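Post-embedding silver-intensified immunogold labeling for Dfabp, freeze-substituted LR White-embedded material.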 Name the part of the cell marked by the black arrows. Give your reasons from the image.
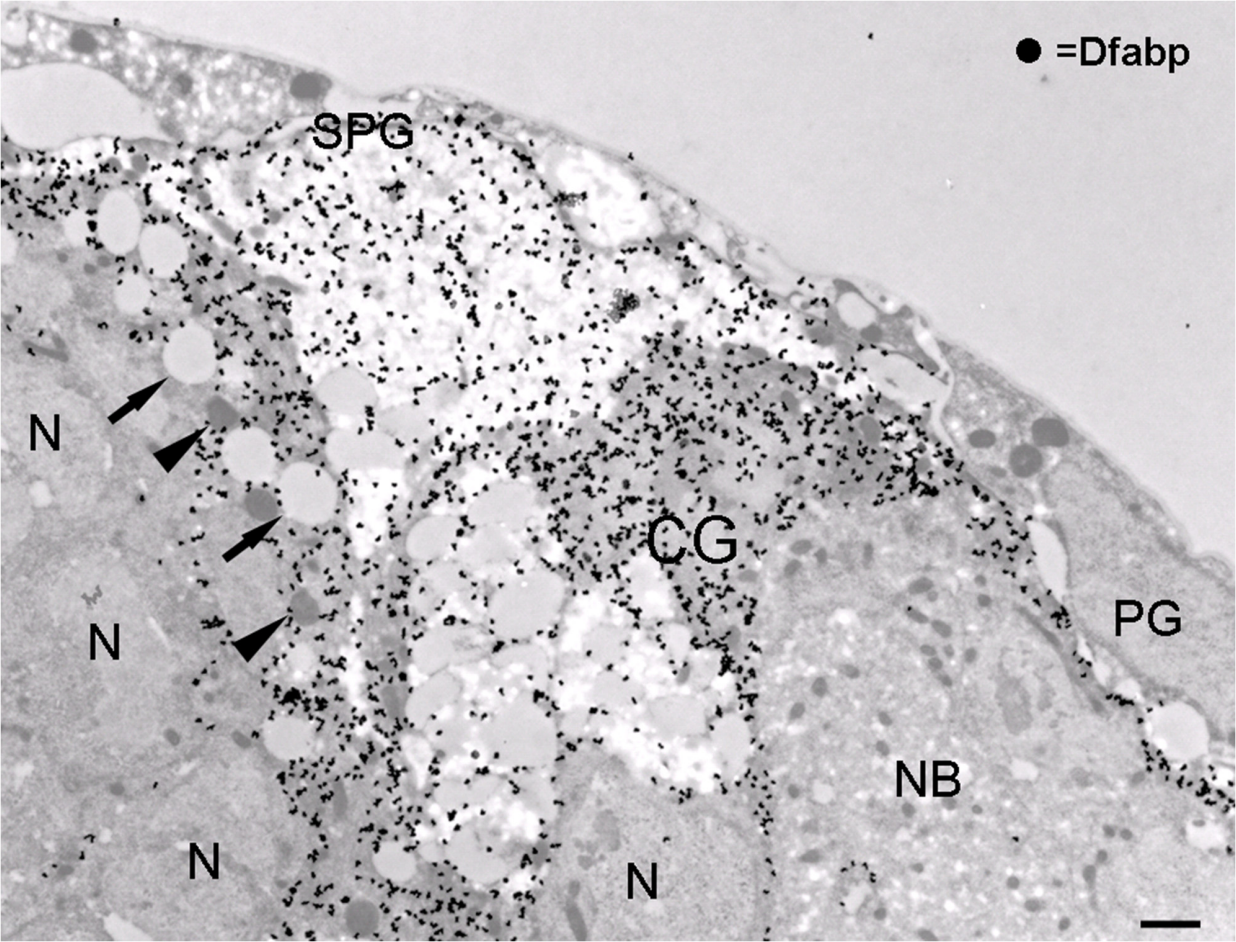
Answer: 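Lipid droplets. The arrows point to round, pale, evenly grey bodies without internal structure. These round bodies lie clustered in the cytoplasm of the labelled cells.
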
